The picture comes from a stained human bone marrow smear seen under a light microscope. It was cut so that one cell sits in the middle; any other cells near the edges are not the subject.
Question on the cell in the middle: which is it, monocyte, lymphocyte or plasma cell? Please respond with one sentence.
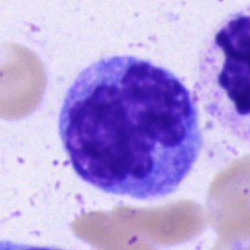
The middle of this crop holds a monocyte.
